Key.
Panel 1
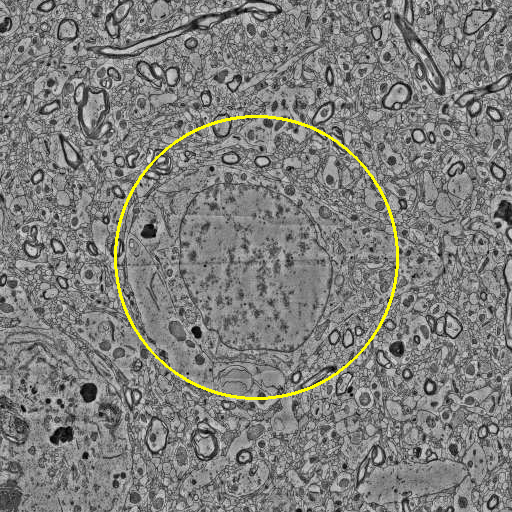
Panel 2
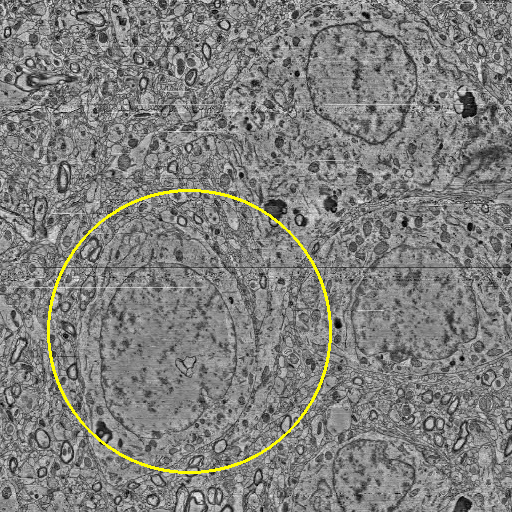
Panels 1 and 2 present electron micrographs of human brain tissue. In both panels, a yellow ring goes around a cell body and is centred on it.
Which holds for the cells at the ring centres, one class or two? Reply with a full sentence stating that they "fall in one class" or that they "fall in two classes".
Taken together, the ring-centre cells of the two panels fall in one class.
